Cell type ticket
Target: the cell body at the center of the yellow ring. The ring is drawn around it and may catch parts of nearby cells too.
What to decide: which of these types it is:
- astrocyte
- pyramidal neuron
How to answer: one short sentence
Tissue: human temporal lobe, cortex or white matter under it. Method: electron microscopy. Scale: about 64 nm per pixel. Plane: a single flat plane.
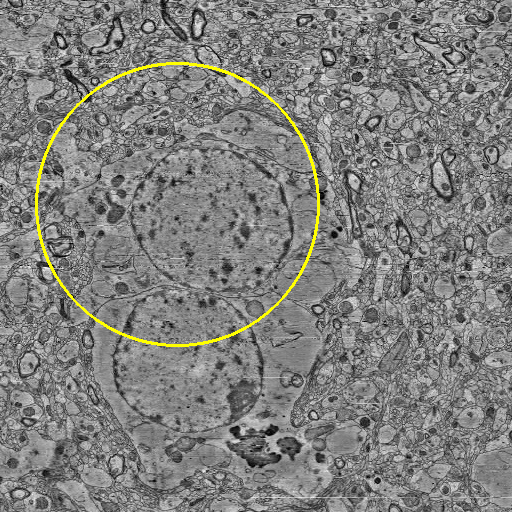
The cell at the center of the ring is an astrocyte.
